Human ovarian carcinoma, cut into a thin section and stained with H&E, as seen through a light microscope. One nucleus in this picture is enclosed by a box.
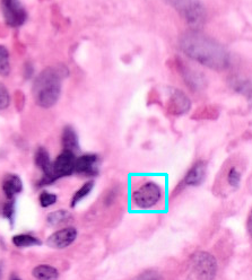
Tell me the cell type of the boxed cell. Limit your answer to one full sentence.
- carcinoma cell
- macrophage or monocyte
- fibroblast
The correct response here is that the boxed cell is a macrophage or monocyte.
